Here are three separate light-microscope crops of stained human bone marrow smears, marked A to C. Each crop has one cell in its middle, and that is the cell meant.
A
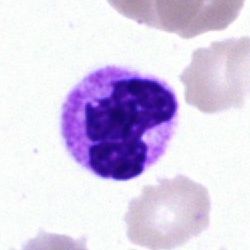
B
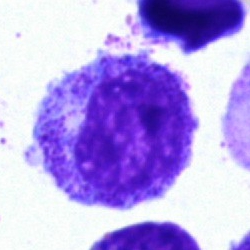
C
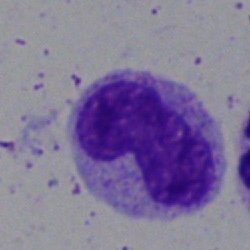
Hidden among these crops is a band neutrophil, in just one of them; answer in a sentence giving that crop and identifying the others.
To sum up, crop C shows a band neutrophil, while crop A is a segmented neutrophil and crop B is a myelocyte.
